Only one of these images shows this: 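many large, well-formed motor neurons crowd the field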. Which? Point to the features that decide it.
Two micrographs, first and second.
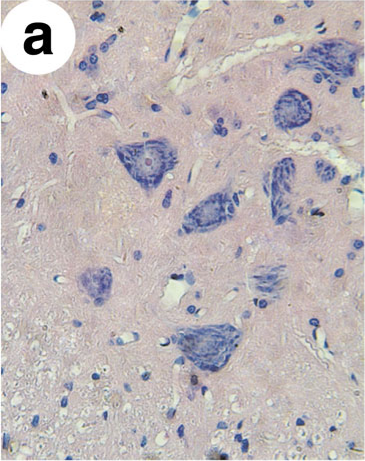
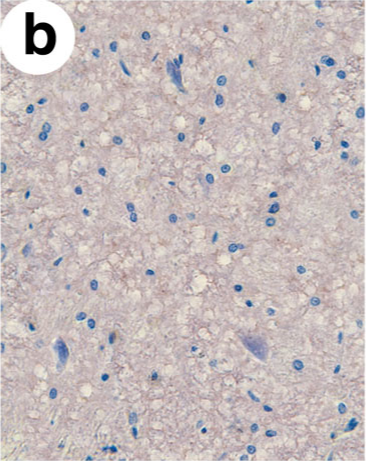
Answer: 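First image: six or more large angular cells with dense granular blue-purple cytoplasm cluster in the field. So: the first image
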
